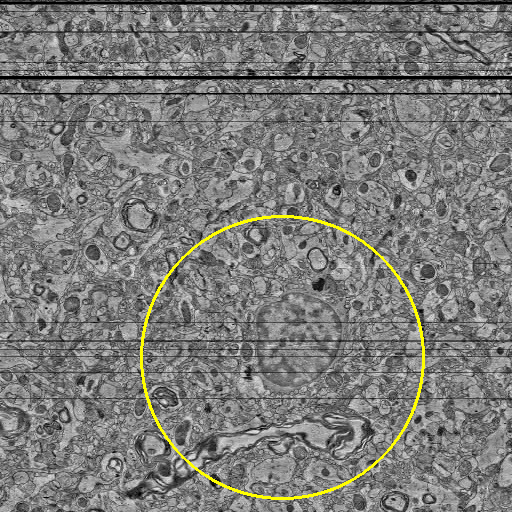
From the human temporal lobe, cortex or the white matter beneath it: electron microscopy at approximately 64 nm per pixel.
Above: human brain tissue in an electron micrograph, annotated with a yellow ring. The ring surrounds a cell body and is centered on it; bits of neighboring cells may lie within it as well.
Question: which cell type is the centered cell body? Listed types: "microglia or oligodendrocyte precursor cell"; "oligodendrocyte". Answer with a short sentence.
The centered cell body is an oligodendrocyte.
